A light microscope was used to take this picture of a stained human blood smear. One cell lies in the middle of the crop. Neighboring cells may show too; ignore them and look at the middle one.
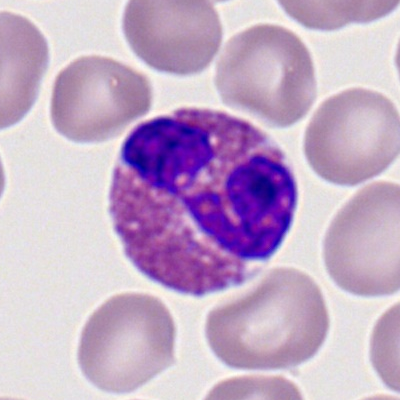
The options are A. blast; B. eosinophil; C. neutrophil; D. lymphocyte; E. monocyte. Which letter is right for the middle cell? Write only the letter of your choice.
B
